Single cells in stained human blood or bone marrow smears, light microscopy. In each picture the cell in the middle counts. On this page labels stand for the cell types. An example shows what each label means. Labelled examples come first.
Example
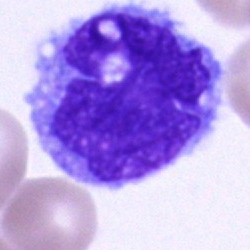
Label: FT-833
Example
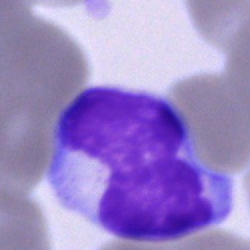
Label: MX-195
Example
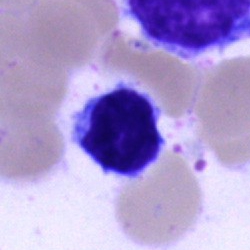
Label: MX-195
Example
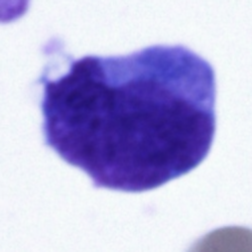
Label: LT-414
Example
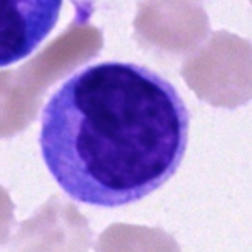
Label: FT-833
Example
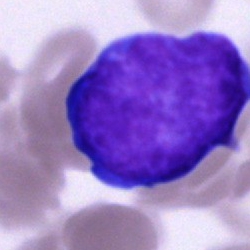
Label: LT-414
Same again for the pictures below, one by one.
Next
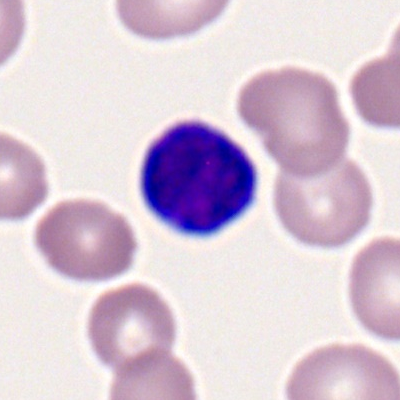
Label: MX-195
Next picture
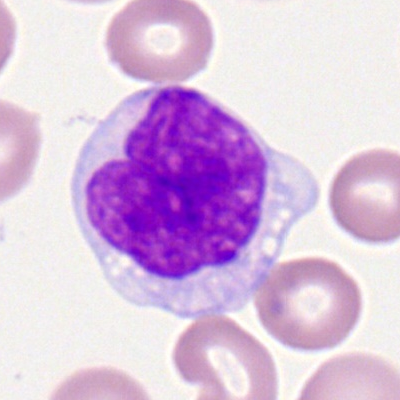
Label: FT-833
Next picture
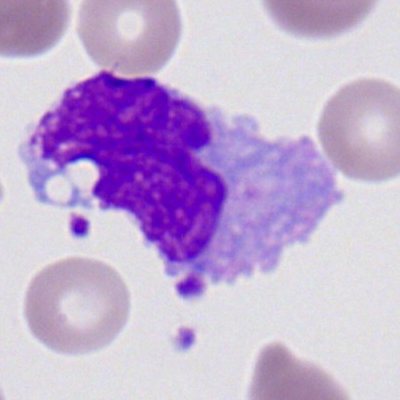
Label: FT-833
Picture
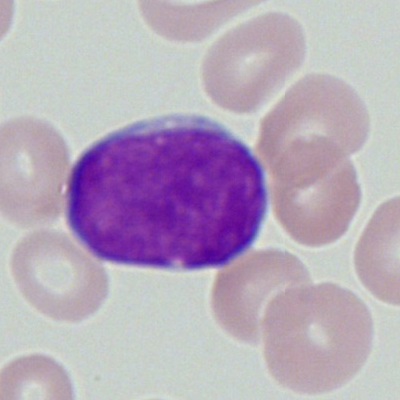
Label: LT-414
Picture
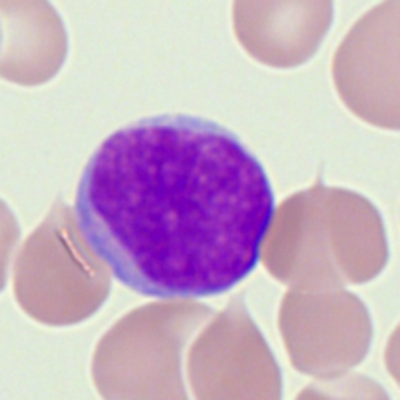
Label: LT-414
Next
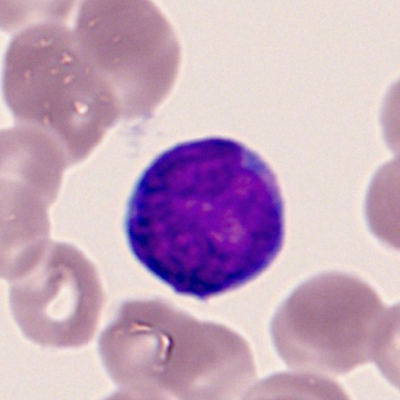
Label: LT-414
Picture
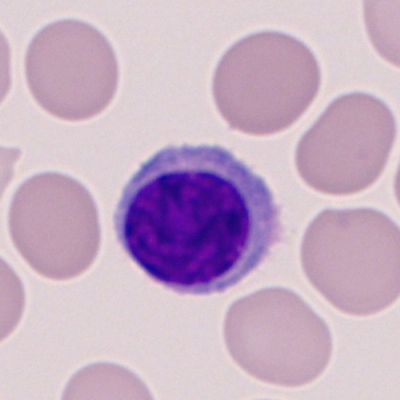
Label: MX-195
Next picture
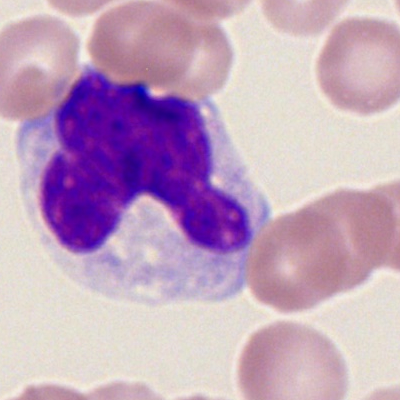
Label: FT-833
